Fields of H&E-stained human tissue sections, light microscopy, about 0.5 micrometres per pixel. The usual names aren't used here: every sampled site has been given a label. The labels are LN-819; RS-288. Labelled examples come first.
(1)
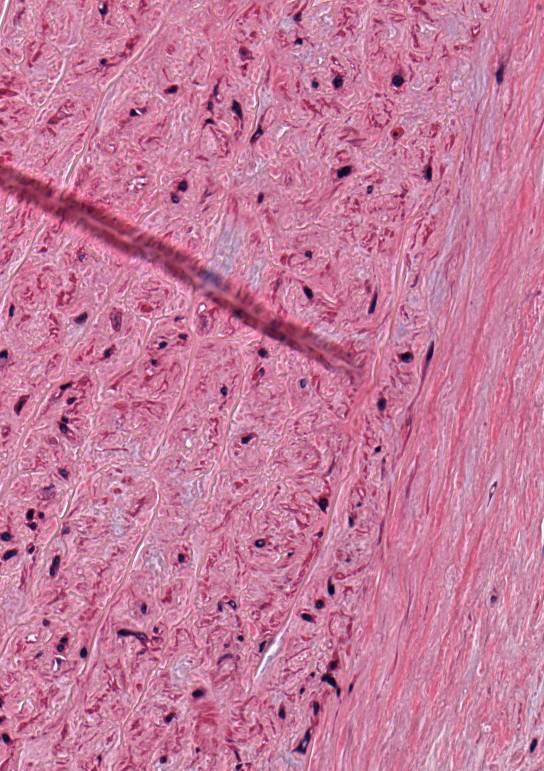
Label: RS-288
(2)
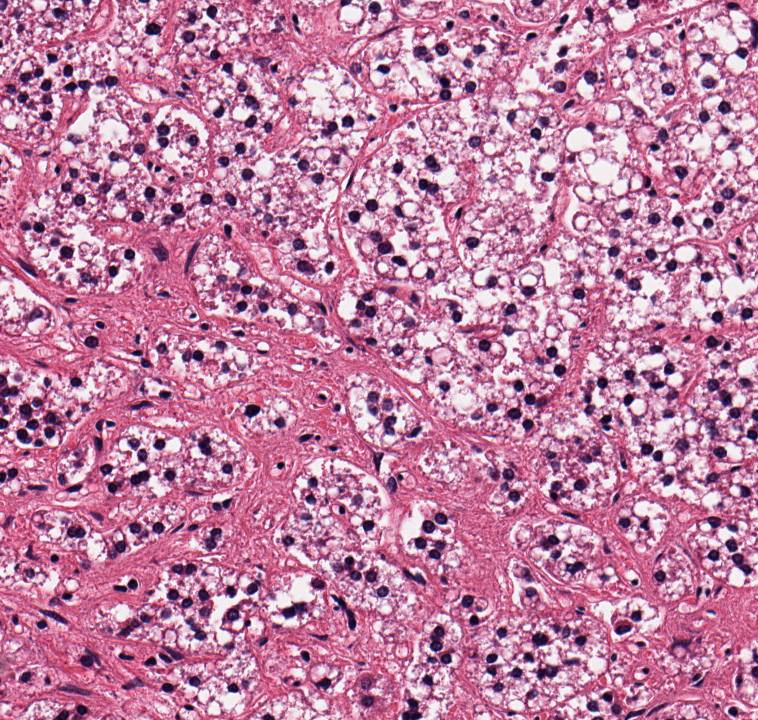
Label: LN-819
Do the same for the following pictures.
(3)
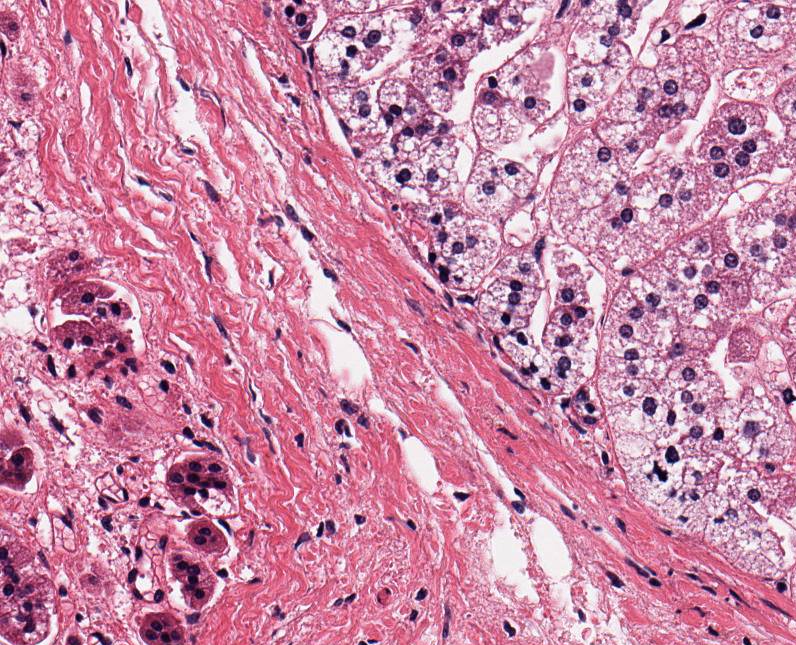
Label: LN-819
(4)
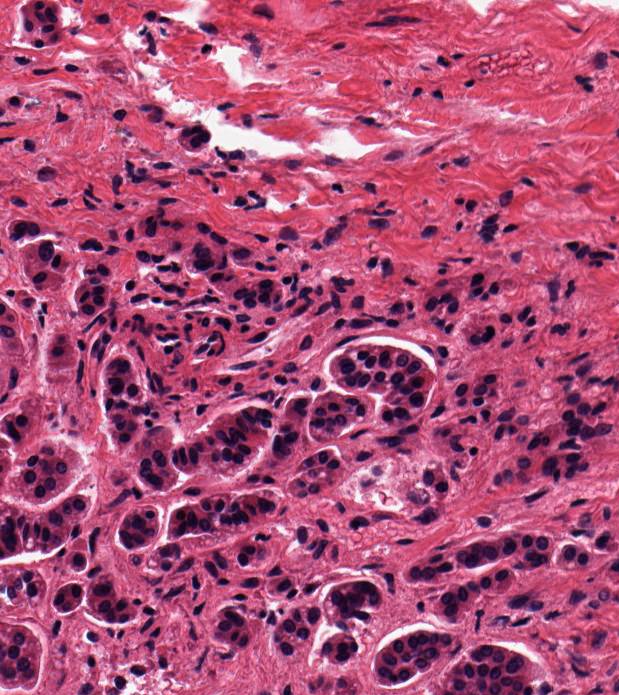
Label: LN-819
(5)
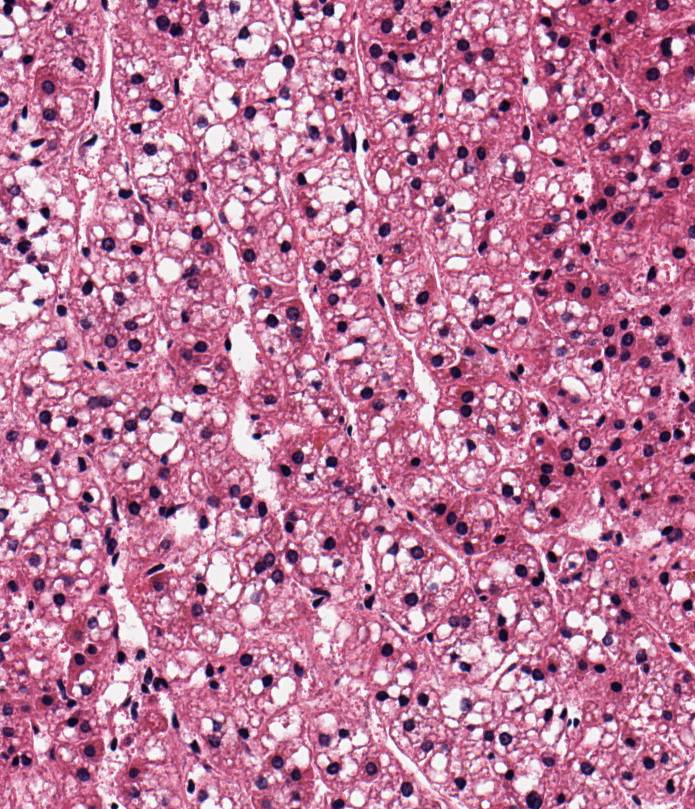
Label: LN-819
